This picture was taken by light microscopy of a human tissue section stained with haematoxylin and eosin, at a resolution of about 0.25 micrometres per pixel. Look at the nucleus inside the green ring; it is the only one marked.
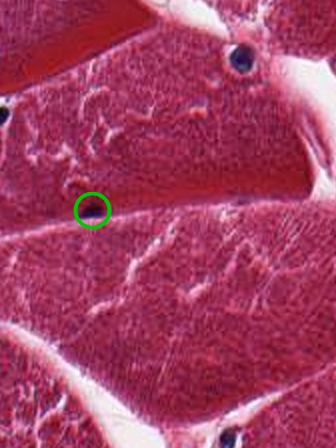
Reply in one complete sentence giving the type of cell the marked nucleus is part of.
The owner of the marked nucleus is a skeletal muscle fibre.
